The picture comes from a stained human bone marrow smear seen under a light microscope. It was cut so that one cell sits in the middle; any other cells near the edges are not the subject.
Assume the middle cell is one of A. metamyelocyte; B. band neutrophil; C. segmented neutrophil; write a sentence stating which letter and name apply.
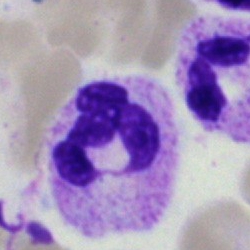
The correct response is option C, naming the cell in the middle as a segmented neutrophil.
